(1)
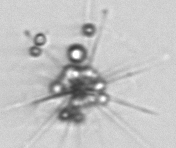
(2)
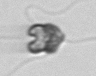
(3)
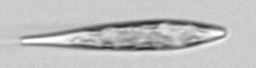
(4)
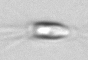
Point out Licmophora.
That is picture 3.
